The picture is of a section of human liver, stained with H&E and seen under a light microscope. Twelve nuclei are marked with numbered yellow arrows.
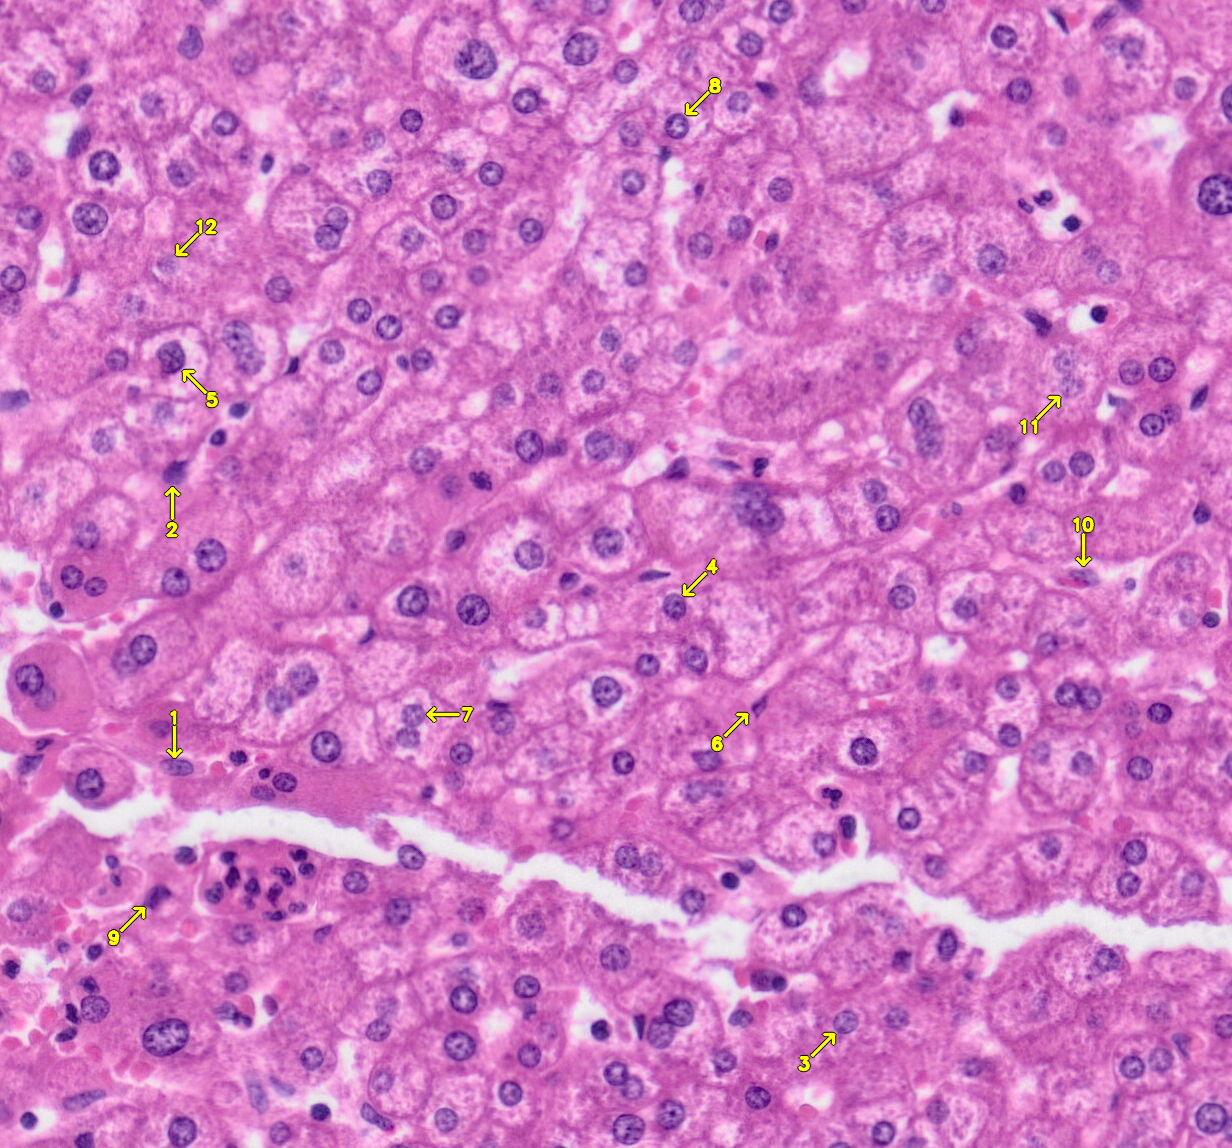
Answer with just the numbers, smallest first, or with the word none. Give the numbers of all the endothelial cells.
6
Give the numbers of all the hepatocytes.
3, 4, 5, 7, 8, 11, 12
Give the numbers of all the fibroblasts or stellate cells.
2, 9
